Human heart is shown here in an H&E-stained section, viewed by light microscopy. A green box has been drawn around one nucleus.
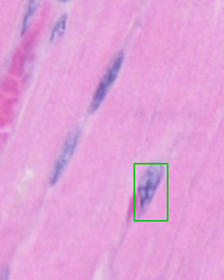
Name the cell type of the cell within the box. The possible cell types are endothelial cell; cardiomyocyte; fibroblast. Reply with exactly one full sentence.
Assigned to a cell type, the cell within the box is an endothelial cell.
